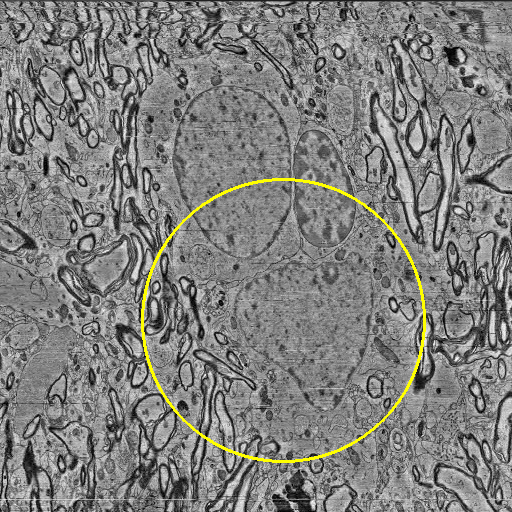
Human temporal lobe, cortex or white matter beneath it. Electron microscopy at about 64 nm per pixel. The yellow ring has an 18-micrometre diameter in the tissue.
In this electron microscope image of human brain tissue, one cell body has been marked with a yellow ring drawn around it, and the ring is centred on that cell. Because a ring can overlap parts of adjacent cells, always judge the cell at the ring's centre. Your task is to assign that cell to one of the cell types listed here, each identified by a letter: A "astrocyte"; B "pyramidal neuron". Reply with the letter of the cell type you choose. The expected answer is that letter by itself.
A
